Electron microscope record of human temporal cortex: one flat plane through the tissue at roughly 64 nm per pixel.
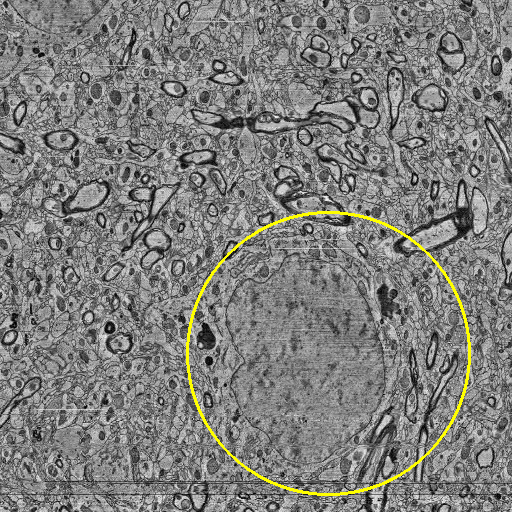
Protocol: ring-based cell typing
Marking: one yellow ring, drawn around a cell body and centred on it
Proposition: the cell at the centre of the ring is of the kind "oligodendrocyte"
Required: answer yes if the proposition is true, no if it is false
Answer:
no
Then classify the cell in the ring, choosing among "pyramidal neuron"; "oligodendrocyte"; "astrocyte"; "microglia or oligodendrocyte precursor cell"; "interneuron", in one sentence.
The correct answer is that the cell is a pyramidal neuron.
